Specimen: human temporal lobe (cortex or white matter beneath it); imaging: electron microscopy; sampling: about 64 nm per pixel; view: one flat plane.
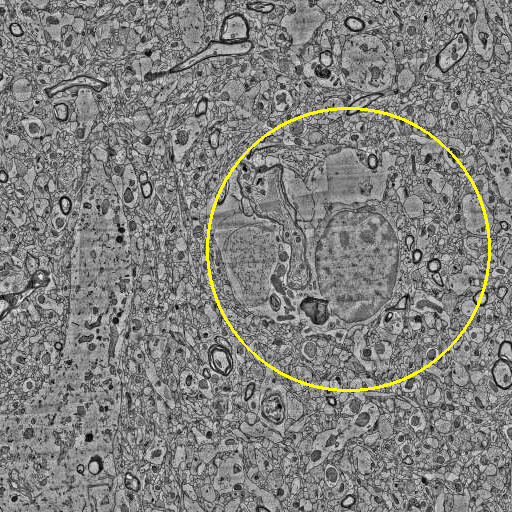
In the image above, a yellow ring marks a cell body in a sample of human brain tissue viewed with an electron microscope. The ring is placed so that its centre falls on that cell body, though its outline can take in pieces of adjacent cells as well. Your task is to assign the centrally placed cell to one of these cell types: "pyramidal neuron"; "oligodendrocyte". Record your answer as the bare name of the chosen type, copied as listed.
oligodendrocyte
